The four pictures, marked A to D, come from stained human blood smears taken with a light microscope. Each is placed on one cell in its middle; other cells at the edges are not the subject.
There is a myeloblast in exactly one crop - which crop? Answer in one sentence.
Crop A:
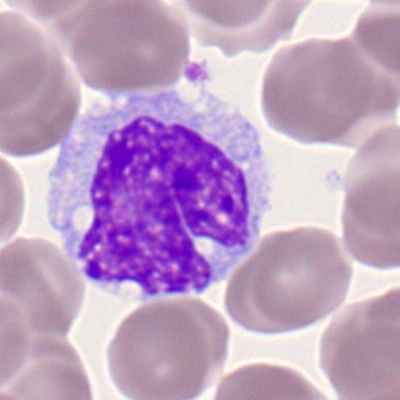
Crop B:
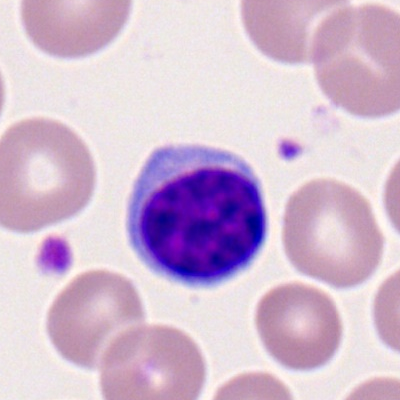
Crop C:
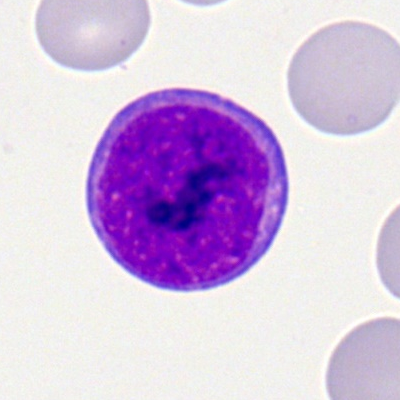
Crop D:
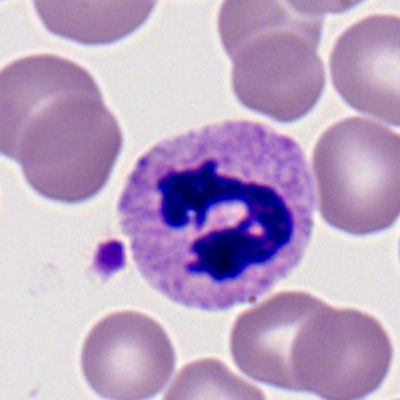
So the crop with a myeloblast at its center is crop C.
